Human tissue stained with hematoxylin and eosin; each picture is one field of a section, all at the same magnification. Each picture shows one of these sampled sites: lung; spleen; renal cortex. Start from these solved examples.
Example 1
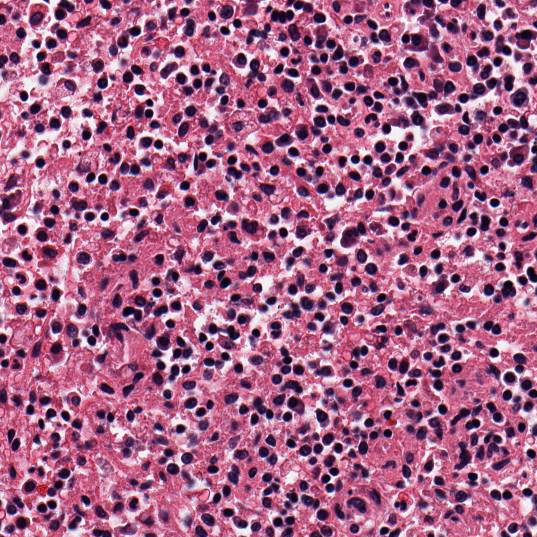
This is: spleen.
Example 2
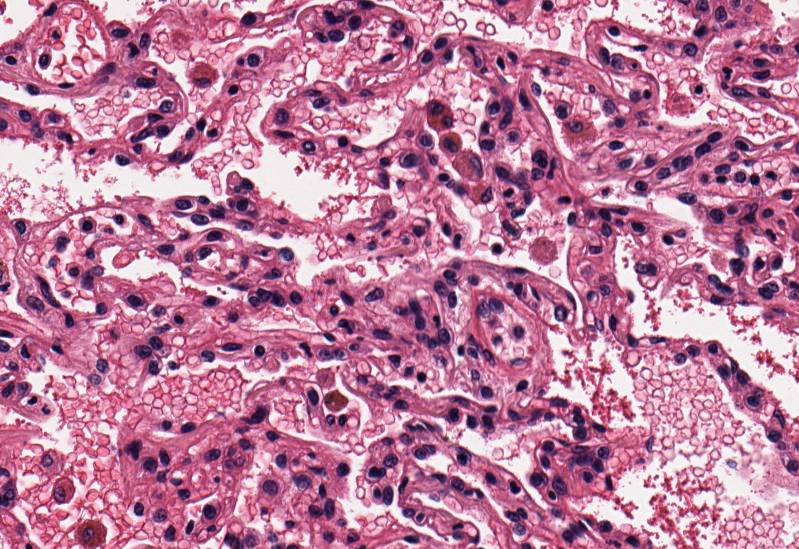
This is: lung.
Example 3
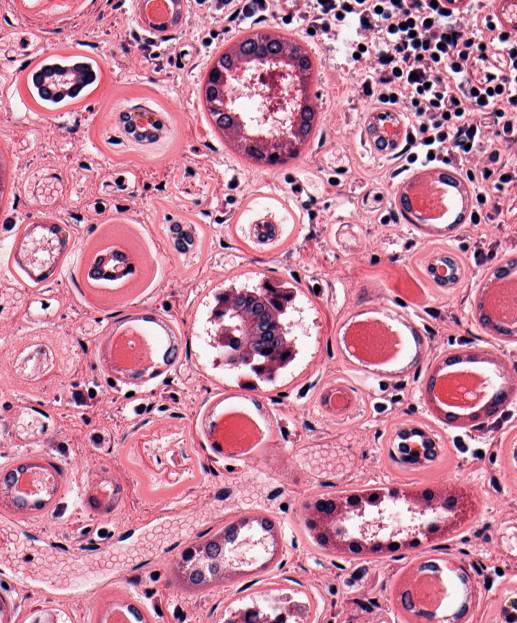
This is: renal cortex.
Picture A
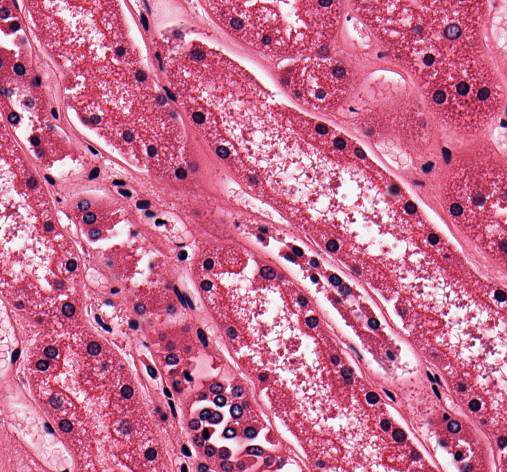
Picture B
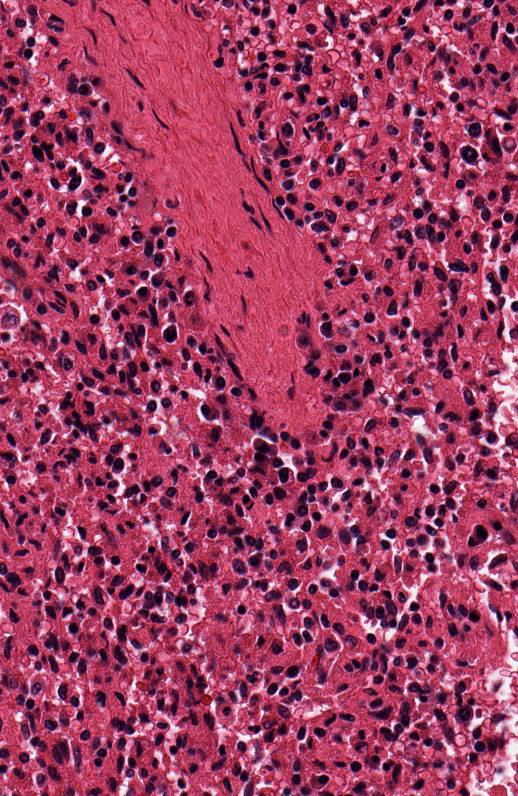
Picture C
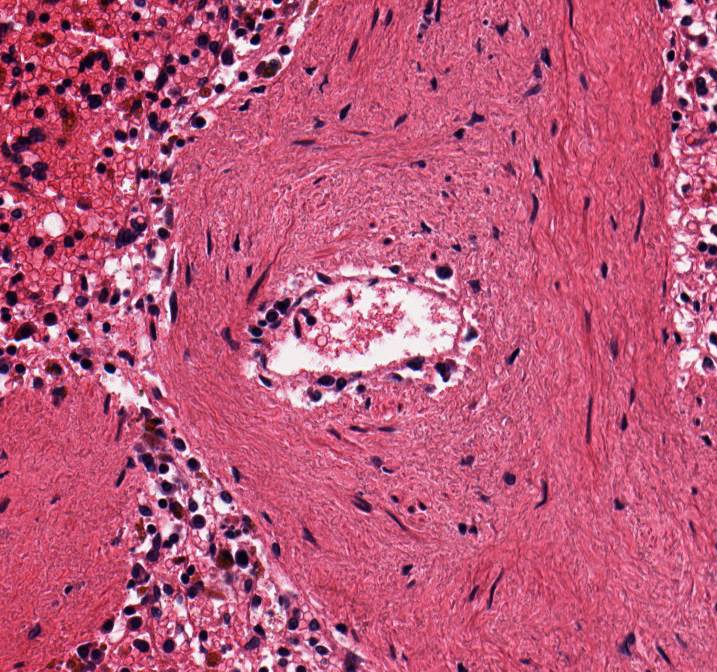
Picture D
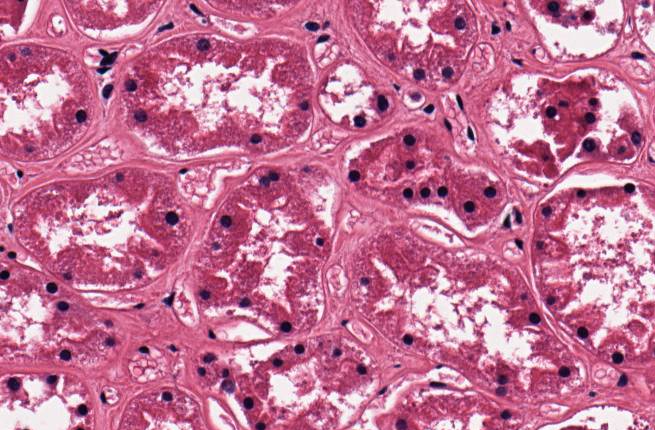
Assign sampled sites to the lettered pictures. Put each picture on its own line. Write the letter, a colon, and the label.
A: renal cortex.
B: spleen.
C: spleen.
D: renal cortex.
